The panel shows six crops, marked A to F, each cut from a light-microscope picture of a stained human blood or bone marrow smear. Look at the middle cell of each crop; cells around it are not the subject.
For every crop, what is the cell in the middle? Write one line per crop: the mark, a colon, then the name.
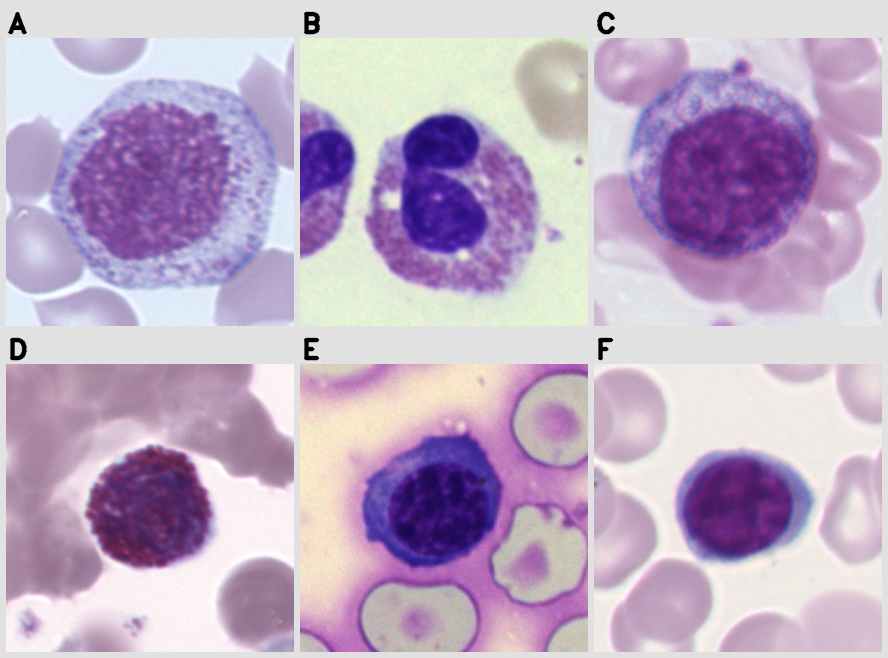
A: promyelocyte
B: eosinophil
C: promyelocyte
D: eosinophil
E: normoblast
F: normoblast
